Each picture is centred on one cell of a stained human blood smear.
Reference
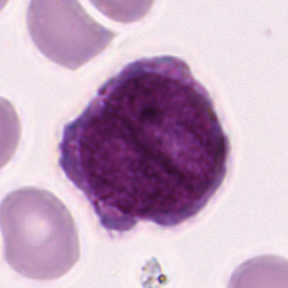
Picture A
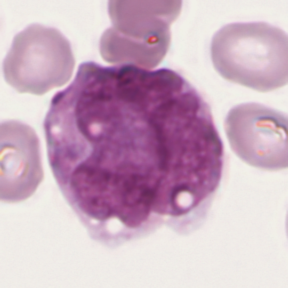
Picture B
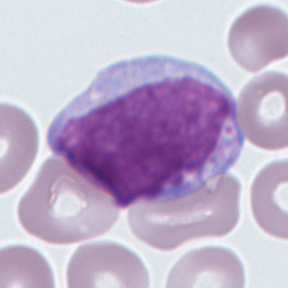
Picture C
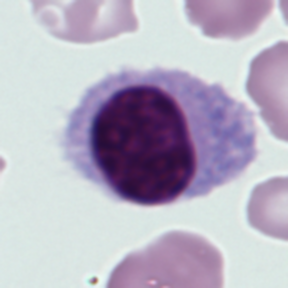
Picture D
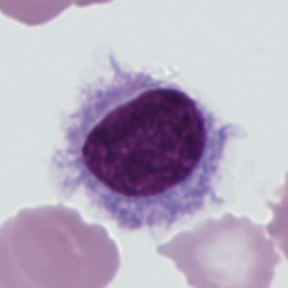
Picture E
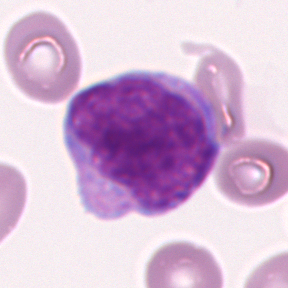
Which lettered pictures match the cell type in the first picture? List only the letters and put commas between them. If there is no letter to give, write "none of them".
A, B, E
